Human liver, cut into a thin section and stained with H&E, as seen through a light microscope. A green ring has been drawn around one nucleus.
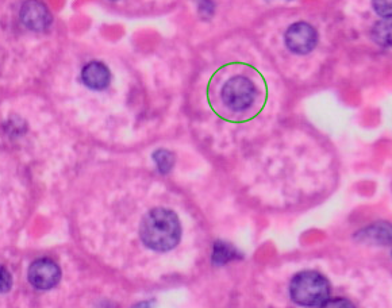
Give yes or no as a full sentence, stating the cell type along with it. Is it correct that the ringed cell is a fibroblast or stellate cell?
No, scored properly, the ringed cell is a hepatocyte rather than a fibroblast or stellate cell.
